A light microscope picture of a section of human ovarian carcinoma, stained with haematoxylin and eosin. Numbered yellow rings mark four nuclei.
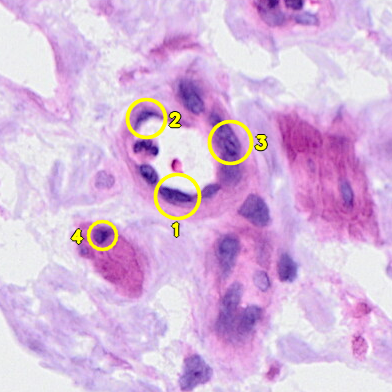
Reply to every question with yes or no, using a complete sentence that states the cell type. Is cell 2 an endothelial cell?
Yes, the cell with the number 2 is an endothelial cell.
